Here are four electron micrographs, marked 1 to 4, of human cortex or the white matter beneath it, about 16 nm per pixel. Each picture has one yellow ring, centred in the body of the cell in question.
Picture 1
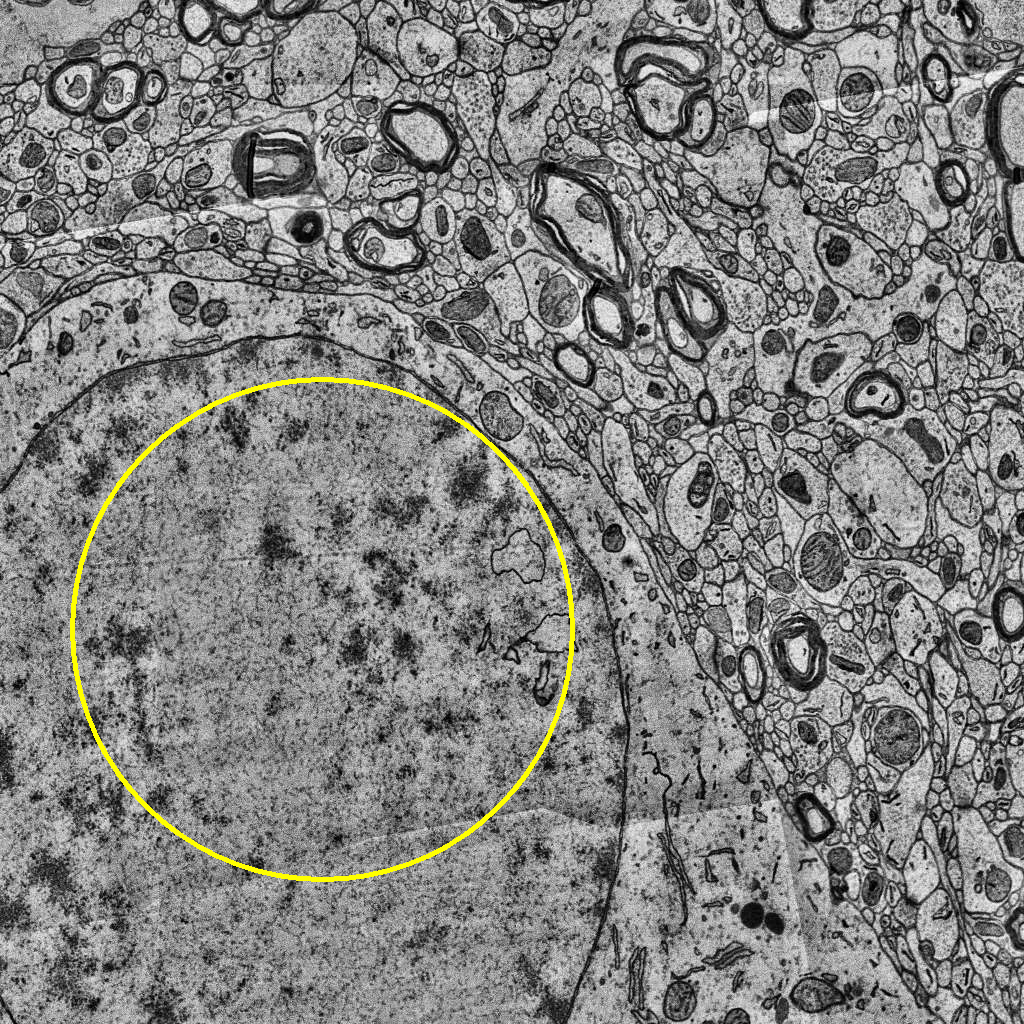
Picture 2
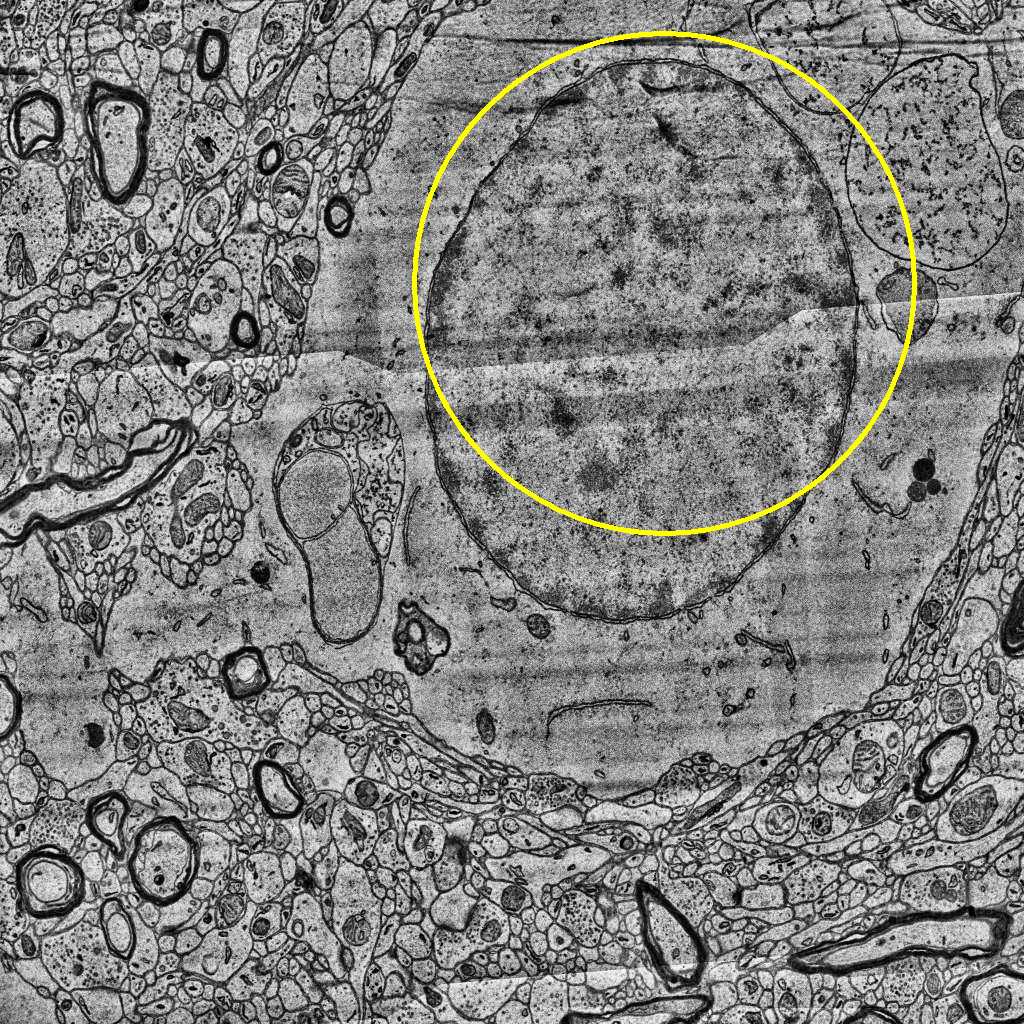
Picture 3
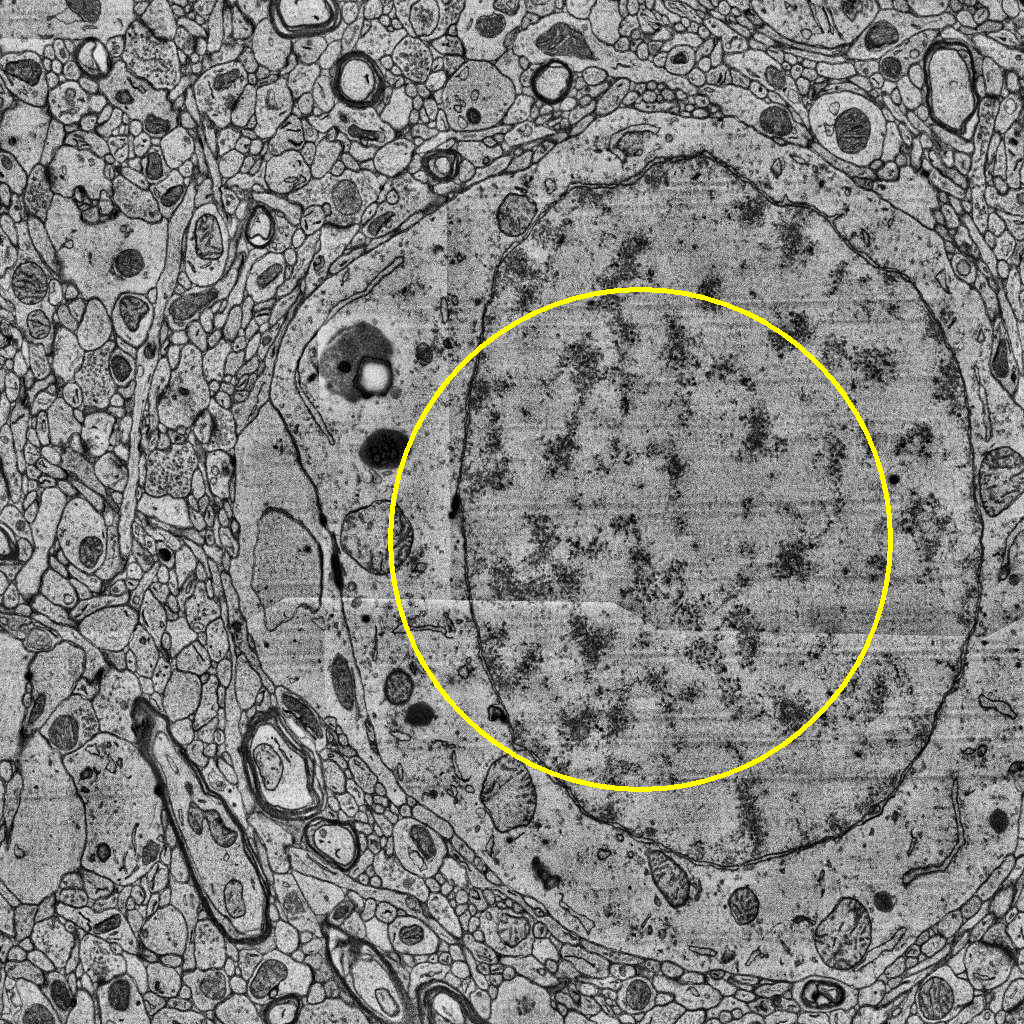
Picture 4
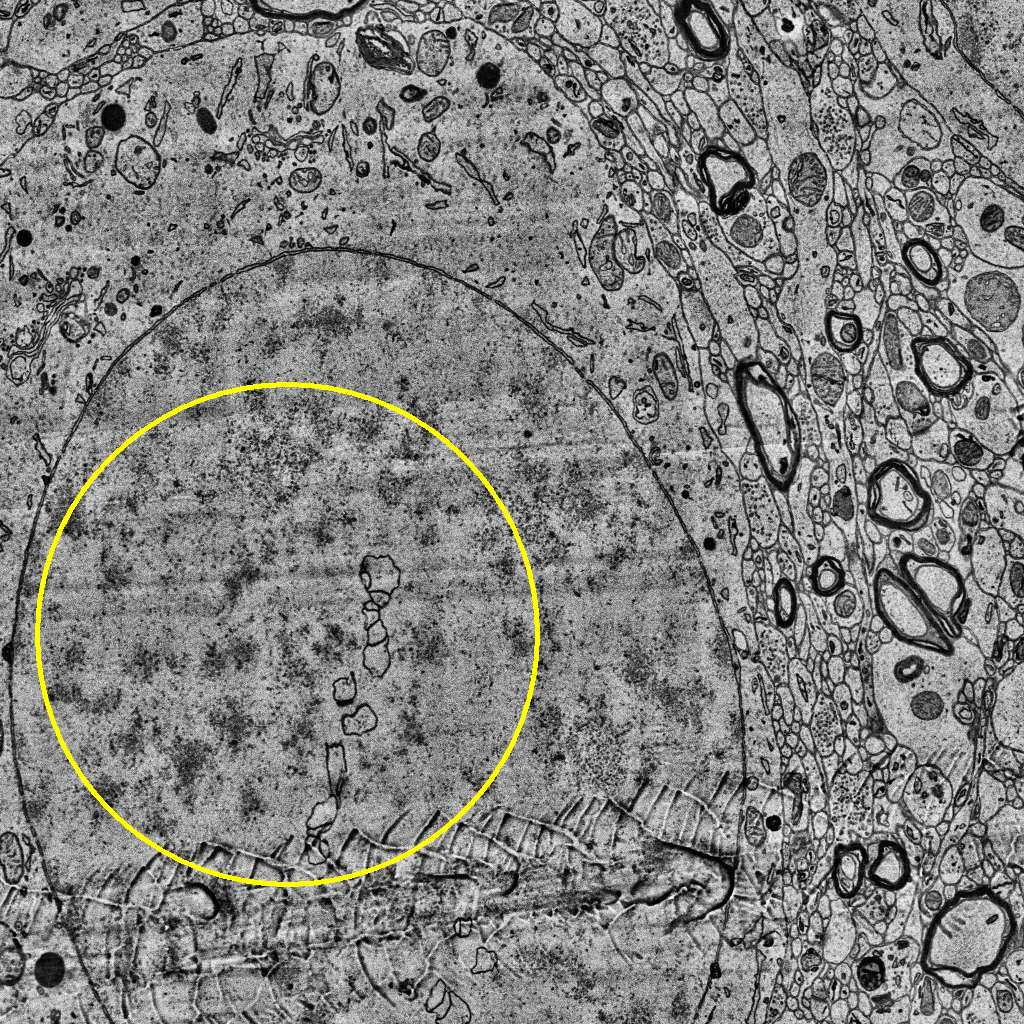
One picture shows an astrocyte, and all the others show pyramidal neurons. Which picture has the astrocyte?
The astrocyte is the one in picture 2.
